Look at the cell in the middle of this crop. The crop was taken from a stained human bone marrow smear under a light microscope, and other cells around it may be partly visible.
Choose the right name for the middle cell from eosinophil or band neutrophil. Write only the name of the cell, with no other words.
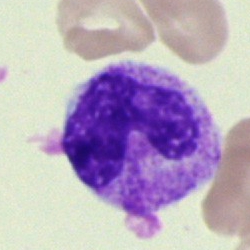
band neutrophil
